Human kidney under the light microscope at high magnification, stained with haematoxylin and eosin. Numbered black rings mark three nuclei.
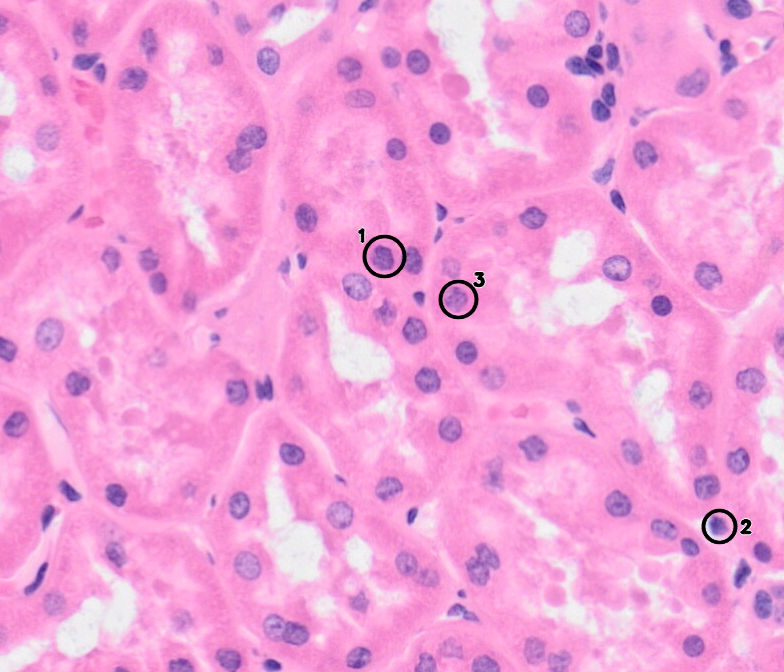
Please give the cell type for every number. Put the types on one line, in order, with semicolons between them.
proximal tubule cell; endothelial cell; proximal tubule cell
